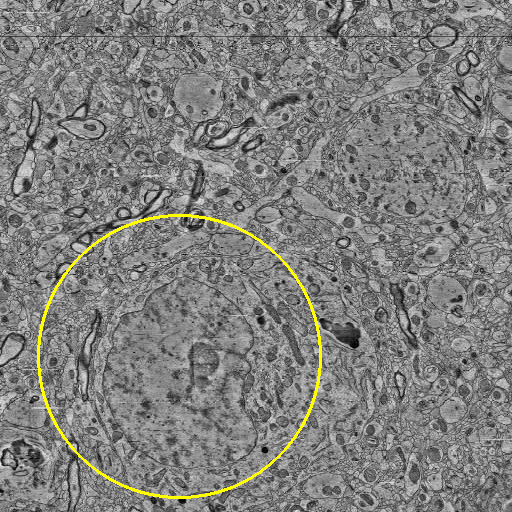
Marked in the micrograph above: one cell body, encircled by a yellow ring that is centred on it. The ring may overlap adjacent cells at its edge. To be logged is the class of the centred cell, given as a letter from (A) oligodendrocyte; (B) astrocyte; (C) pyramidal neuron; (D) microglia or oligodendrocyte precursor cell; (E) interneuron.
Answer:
E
